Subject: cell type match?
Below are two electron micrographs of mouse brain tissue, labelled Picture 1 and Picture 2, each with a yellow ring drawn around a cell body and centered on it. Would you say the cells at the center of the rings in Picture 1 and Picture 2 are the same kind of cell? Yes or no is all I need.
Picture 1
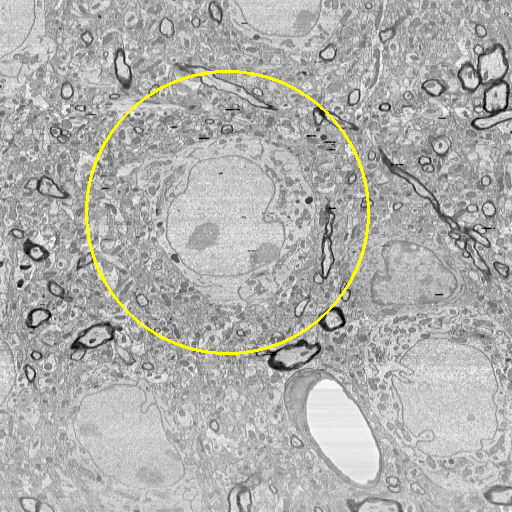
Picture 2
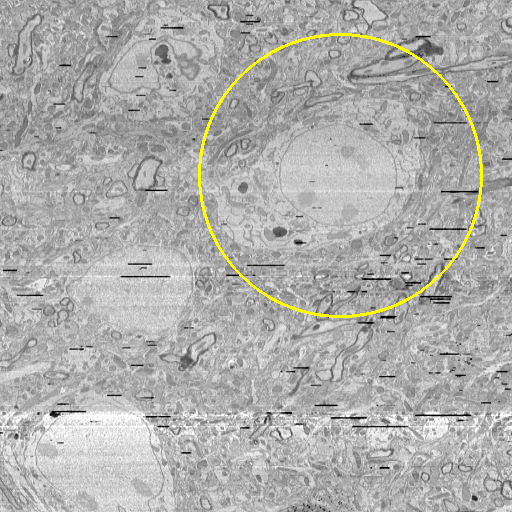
yes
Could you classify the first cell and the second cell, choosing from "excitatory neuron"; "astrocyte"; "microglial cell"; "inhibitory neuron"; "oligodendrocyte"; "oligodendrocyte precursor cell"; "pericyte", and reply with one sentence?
The first and the second cell are each an excitatory neuron.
